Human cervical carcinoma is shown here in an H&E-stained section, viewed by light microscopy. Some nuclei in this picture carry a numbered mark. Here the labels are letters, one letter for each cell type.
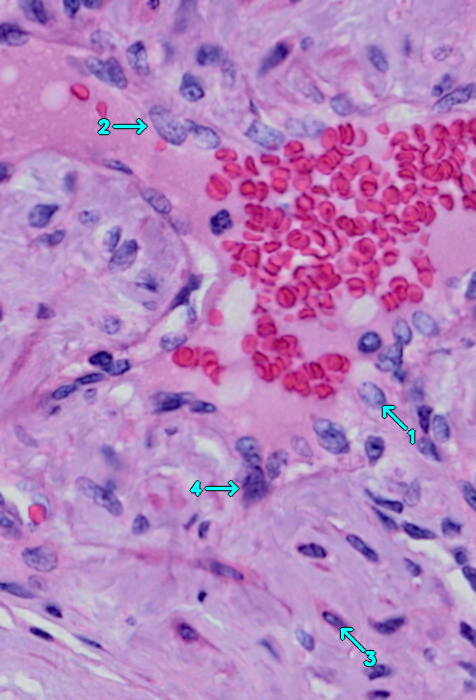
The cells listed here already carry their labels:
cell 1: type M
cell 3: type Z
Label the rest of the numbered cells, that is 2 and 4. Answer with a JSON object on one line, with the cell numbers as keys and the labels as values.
{"2": "type M", "4": "type M"}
